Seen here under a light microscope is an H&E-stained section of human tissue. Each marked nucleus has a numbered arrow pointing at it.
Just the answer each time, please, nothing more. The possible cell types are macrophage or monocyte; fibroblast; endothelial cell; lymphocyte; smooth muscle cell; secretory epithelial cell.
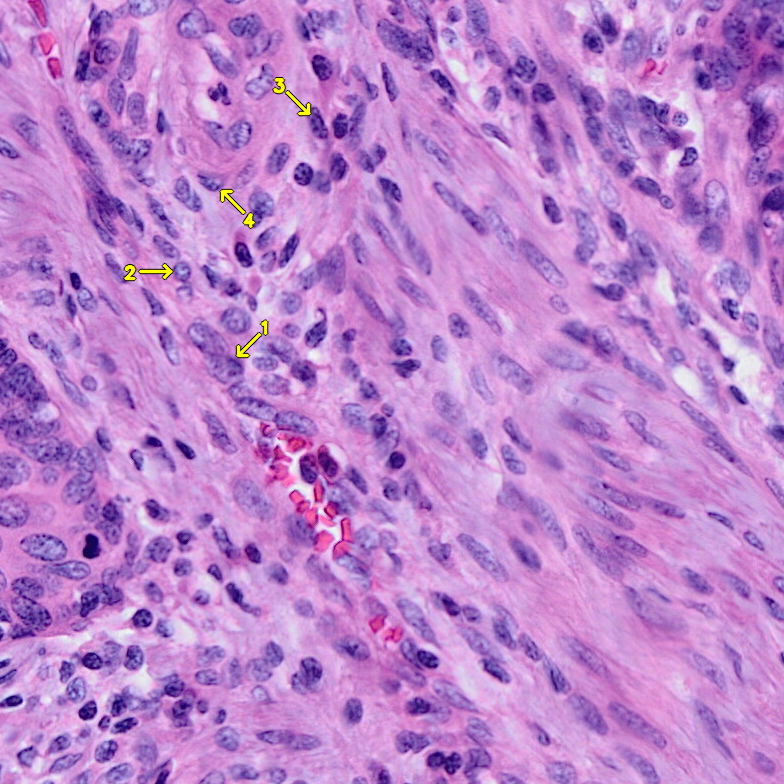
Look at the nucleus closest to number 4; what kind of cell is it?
macrophage or monocyte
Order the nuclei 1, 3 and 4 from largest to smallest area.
1, 3, 4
